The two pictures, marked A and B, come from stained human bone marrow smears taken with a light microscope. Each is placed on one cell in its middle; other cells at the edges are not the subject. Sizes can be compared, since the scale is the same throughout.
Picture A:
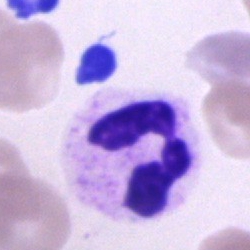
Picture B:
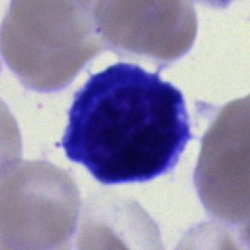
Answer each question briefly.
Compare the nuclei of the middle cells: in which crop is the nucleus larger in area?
B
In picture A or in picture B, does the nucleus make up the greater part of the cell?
B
